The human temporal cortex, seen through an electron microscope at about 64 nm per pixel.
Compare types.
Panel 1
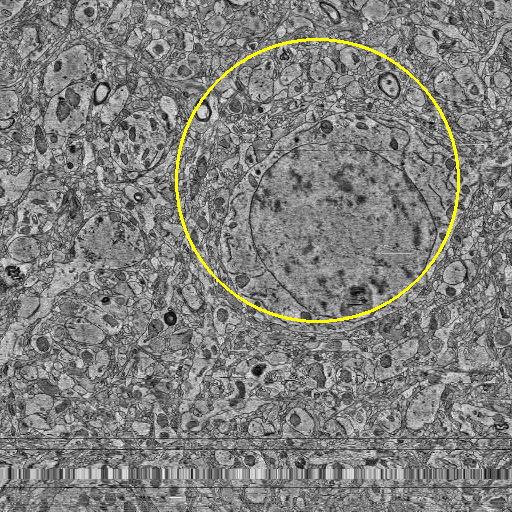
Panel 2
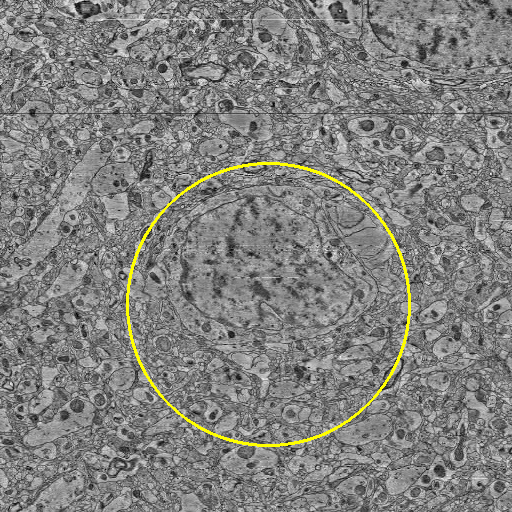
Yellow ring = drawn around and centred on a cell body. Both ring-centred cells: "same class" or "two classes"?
two classes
